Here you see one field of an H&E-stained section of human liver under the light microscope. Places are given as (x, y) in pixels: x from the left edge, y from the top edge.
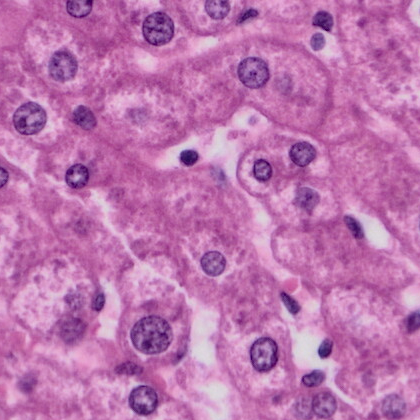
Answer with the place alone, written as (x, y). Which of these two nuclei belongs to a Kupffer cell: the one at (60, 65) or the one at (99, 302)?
(99, 302)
